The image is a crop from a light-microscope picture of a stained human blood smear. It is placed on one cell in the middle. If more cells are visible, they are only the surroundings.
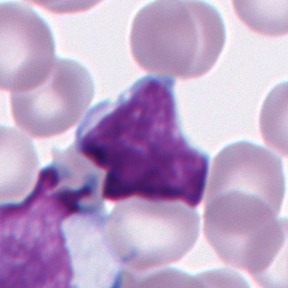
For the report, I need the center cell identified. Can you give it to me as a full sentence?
The target cell in the middle of the crop is a typical lymphocyte.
